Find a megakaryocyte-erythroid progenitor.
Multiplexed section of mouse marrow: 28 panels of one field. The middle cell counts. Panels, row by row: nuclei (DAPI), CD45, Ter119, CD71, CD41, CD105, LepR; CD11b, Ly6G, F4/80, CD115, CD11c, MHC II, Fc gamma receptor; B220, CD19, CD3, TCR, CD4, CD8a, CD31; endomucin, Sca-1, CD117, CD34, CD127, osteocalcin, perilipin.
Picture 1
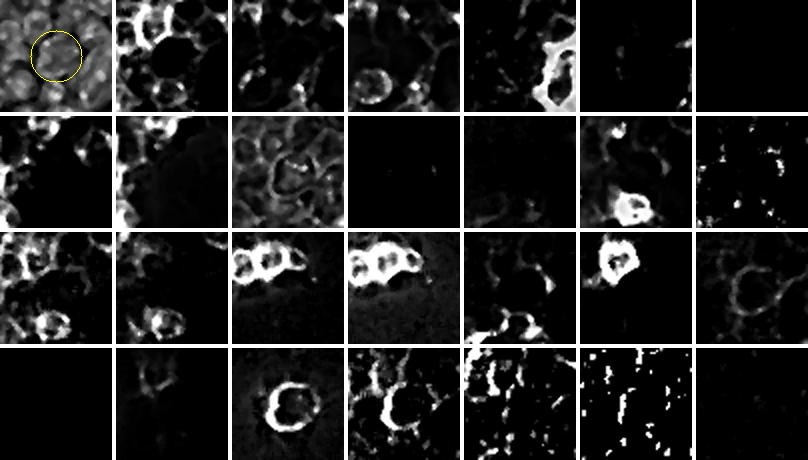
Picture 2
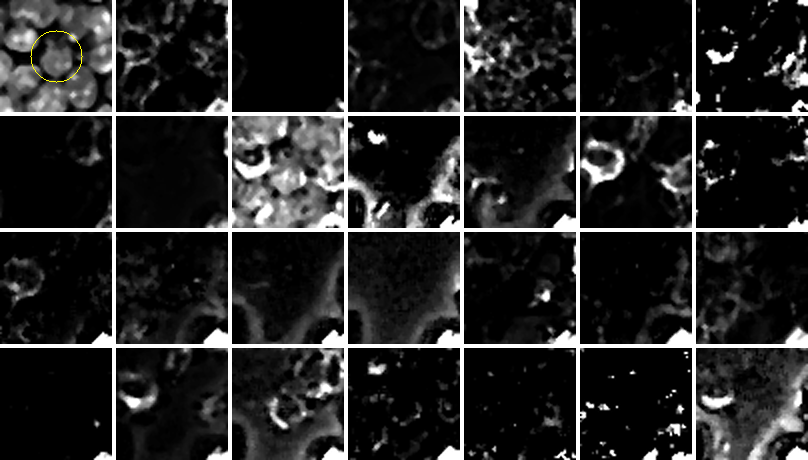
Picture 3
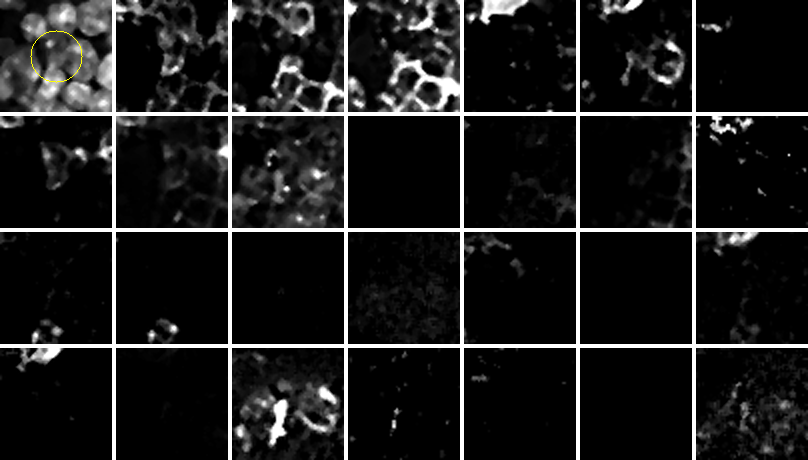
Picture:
2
